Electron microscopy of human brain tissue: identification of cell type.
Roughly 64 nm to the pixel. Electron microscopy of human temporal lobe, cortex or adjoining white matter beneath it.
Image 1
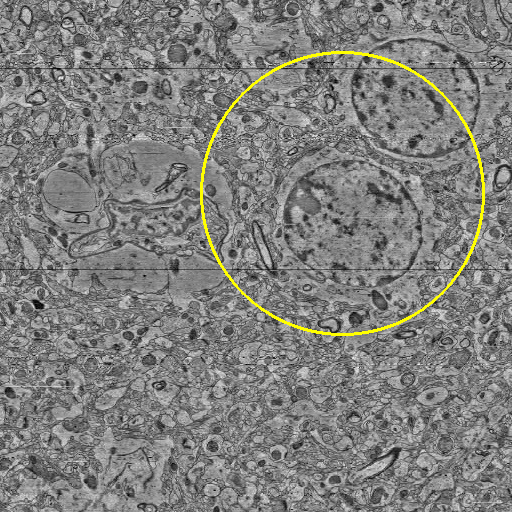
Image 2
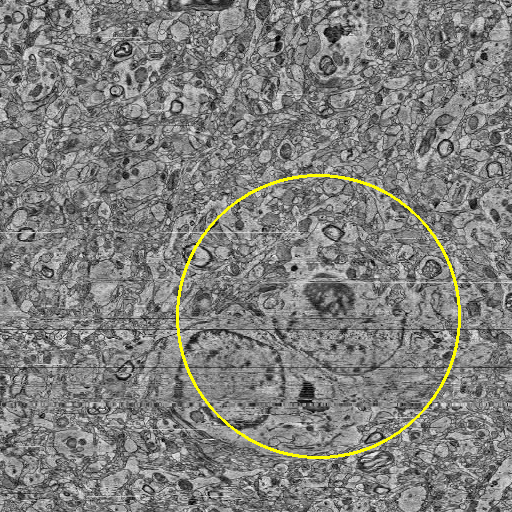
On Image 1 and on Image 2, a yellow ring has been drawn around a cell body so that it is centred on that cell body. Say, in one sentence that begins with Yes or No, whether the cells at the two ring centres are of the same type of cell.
Yes, both cells are the same type of cell.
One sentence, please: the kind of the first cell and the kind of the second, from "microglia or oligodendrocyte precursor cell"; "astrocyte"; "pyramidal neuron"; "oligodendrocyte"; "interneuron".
Both the first and the second picture show an astrocyte in the ring.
